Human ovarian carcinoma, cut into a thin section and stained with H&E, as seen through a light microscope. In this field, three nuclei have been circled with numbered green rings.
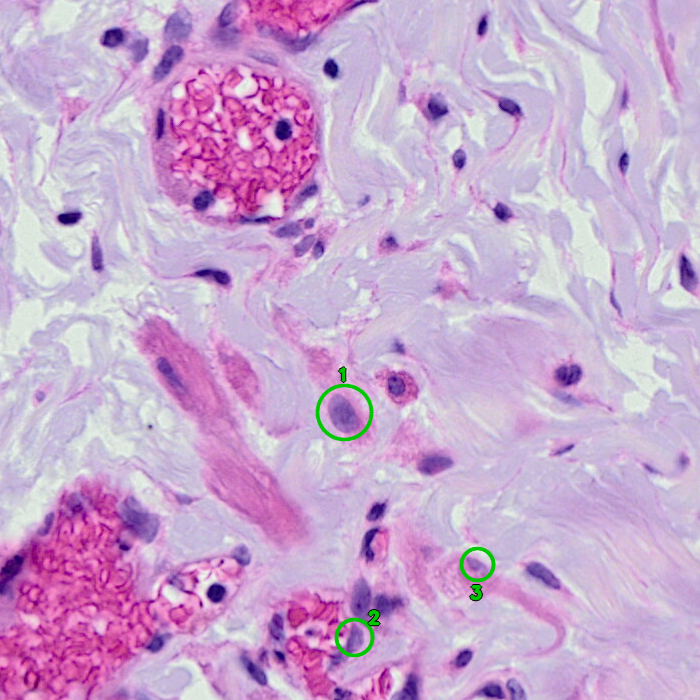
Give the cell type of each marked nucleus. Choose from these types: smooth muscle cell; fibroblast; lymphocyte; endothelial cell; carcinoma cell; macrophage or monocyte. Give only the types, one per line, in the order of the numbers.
smooth muscle cell
endothelial cell
smooth muscle cell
